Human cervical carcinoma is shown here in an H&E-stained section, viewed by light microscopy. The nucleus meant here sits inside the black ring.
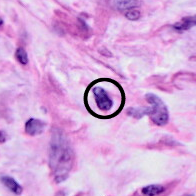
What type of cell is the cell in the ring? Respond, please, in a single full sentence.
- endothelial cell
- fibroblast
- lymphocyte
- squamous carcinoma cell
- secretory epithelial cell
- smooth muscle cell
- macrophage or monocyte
At the level of cell identity, the cell in the ring is a lymphocyte.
